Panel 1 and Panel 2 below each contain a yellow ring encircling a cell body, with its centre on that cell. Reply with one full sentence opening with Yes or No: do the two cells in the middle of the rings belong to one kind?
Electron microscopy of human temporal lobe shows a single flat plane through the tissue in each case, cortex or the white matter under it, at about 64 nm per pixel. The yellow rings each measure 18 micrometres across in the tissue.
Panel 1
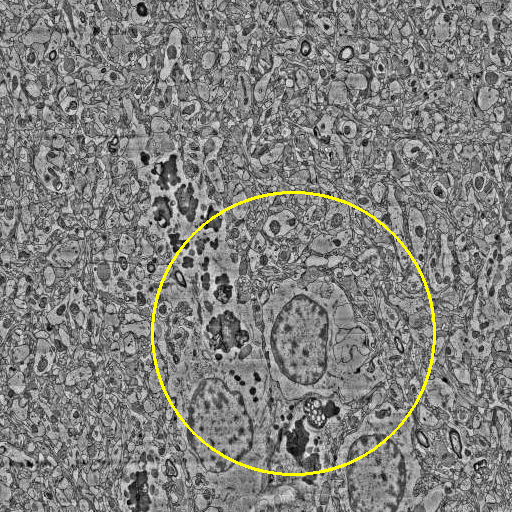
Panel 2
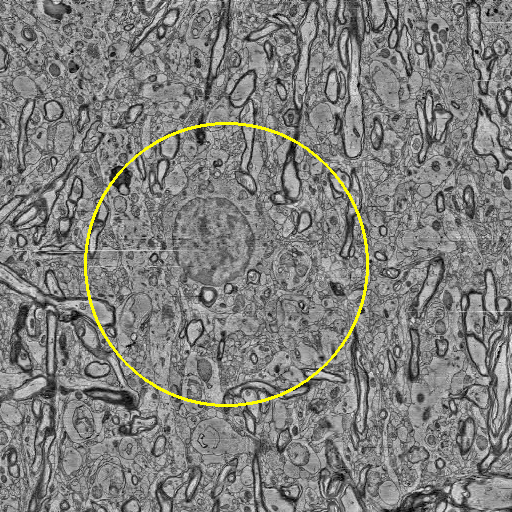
No, the cells at the middle of the Panel 1 ring and the Panel 2 ring are of two kinds.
